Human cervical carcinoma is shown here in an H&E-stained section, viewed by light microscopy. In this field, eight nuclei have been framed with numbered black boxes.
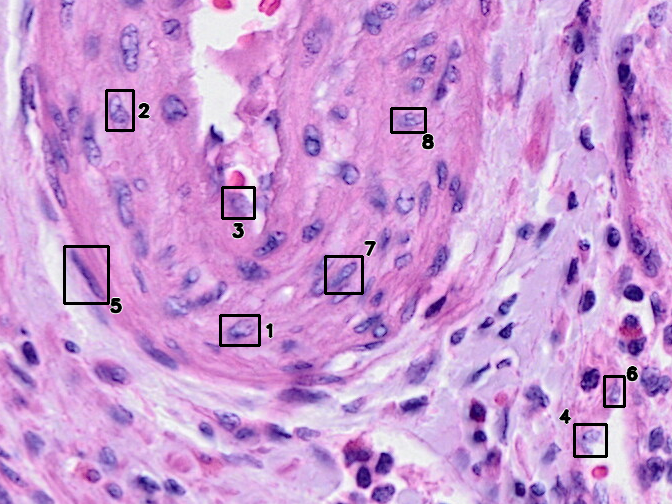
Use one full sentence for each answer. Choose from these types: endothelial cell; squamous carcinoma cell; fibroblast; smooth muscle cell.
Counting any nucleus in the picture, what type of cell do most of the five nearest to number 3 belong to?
Around number 3, most of the five nearest nuclei are those of endothelial cells.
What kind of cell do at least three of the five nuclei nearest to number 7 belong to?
Smooth muscle cells account for more than half of the five nuclei nearest to number 7.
